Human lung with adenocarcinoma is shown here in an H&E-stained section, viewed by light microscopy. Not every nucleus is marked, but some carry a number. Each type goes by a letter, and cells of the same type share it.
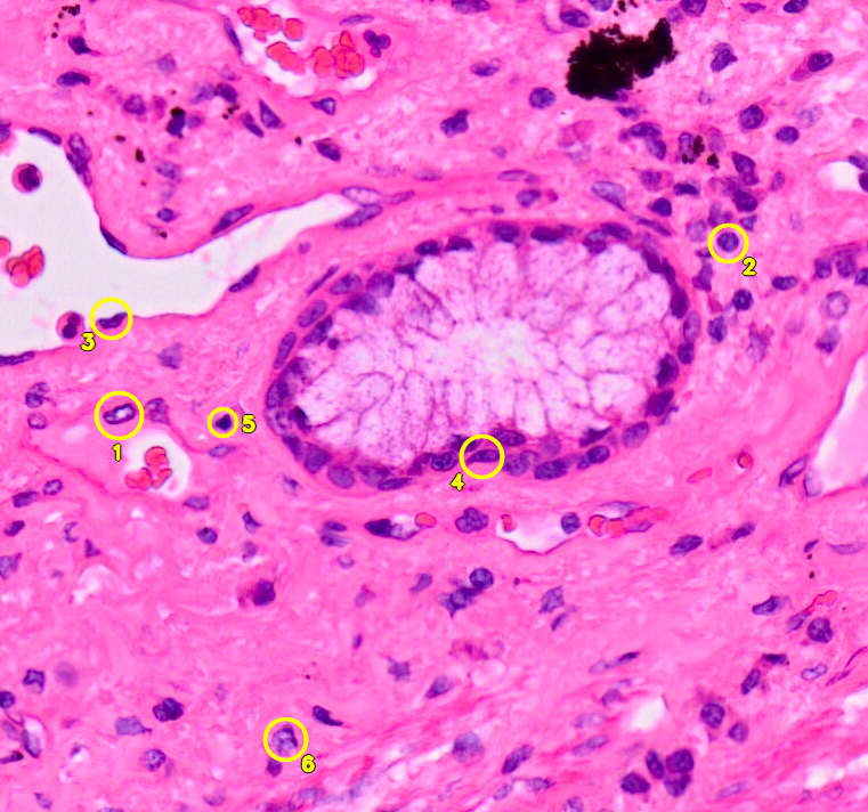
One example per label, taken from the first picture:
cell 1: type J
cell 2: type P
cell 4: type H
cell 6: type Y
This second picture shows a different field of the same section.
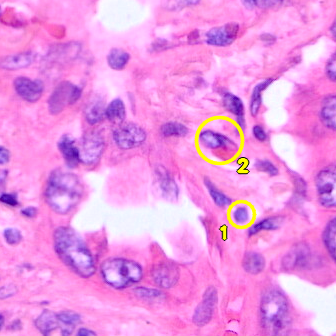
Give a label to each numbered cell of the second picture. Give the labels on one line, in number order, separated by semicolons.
type P; type J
